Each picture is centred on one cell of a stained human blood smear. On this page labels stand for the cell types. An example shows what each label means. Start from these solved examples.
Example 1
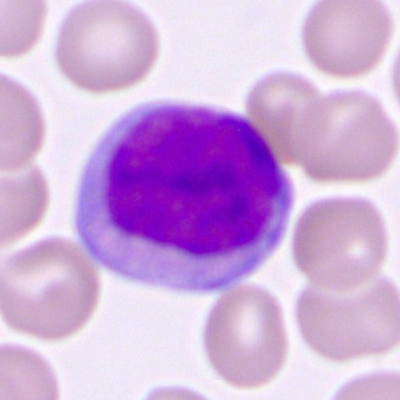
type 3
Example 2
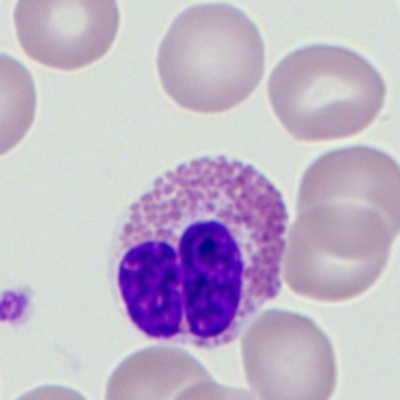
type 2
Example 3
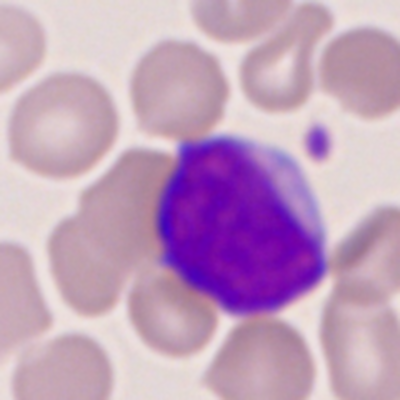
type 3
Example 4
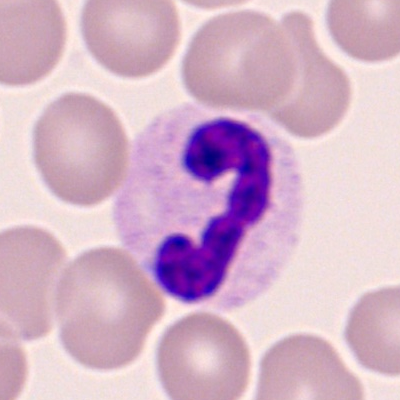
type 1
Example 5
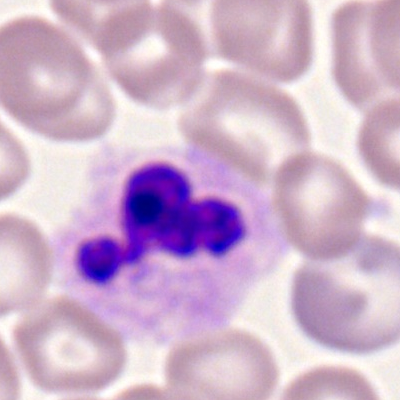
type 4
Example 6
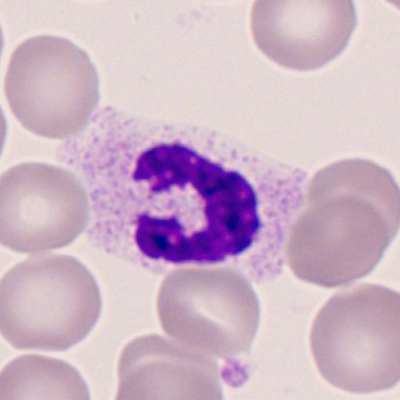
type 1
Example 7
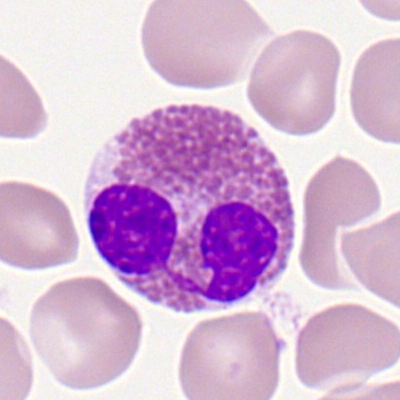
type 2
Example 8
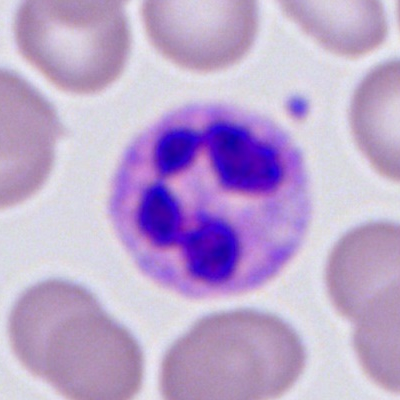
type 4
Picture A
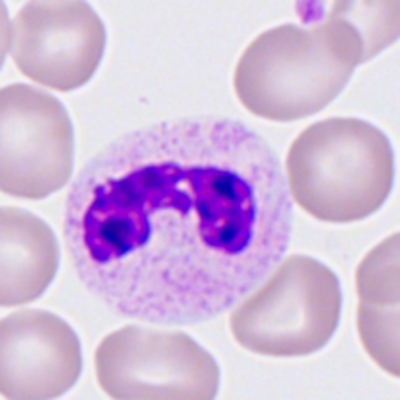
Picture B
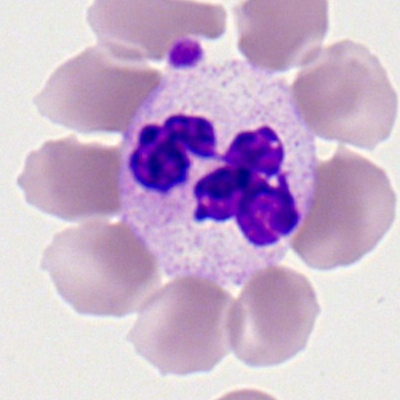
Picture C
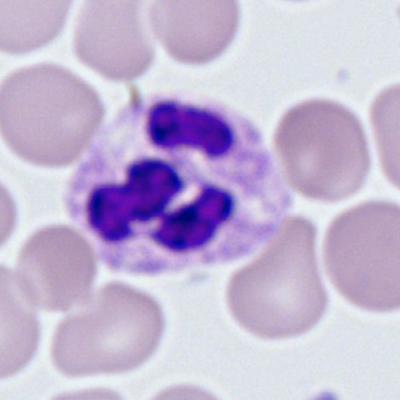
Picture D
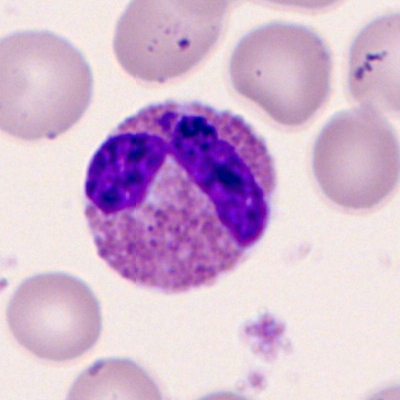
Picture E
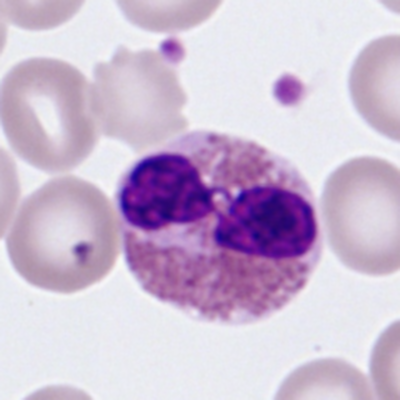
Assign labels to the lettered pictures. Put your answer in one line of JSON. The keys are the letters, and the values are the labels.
{"A": "type 1", "B": "type 4", "C": "type 4", "D": "type 2", "E": "type 2"}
